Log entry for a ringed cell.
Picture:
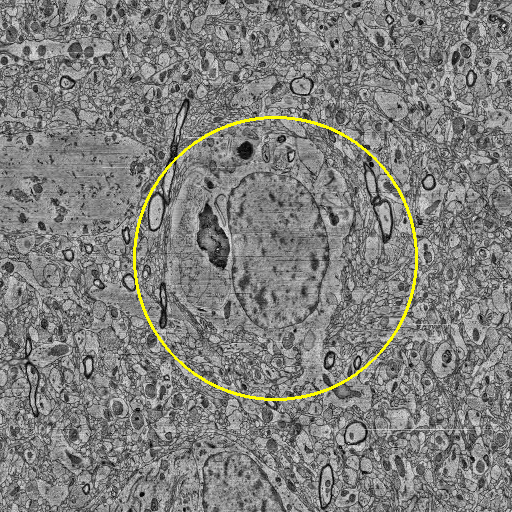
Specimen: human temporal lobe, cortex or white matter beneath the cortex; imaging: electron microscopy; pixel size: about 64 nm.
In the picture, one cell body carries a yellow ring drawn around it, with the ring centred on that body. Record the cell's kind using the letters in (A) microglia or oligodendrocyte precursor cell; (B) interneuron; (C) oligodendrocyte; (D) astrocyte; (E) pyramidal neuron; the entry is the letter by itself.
D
